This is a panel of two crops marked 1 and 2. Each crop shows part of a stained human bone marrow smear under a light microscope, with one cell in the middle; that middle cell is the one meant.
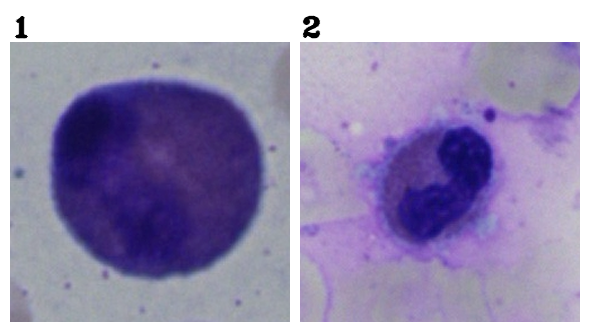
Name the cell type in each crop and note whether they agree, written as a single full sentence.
Yes, eosinophils lie at the centre of both crops.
